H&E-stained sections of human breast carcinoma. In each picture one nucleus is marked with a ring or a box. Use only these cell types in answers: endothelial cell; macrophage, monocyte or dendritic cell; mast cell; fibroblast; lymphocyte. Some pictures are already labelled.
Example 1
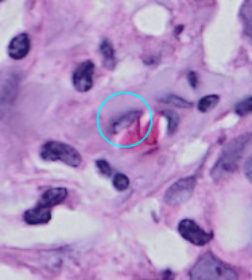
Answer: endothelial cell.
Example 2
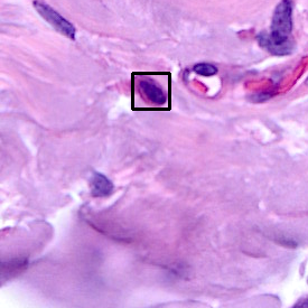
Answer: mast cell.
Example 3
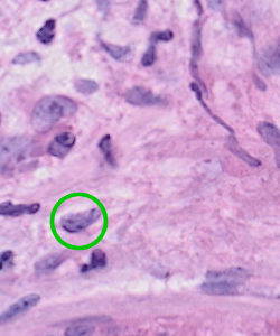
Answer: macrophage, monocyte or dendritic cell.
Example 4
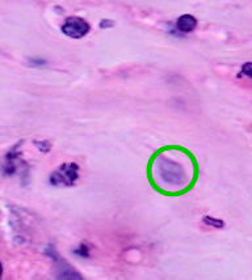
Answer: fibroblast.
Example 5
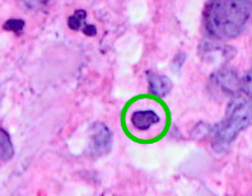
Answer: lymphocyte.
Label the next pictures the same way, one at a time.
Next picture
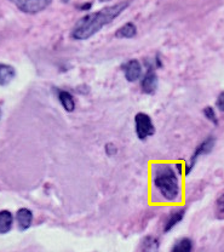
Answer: lymphocyte.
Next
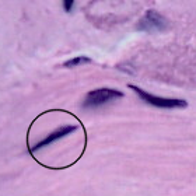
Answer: fibroblast.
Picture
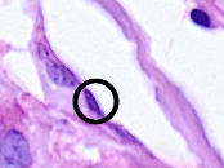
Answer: fibroblast.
